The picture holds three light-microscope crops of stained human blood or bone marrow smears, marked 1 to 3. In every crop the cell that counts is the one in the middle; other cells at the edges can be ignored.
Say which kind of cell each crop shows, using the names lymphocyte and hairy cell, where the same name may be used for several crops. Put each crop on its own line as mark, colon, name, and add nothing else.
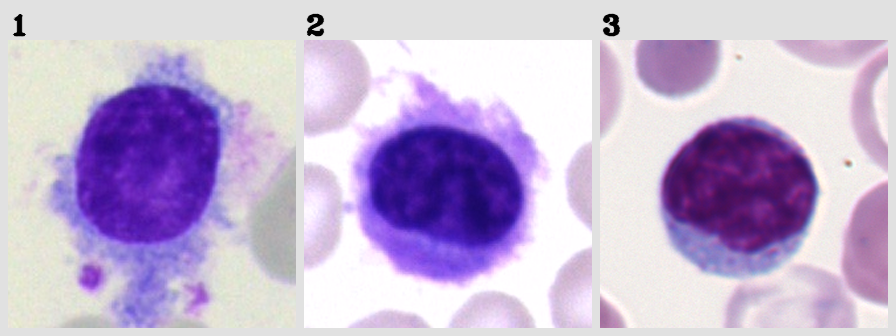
1: hairy cell
2: hairy cell
3: lymphocyte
